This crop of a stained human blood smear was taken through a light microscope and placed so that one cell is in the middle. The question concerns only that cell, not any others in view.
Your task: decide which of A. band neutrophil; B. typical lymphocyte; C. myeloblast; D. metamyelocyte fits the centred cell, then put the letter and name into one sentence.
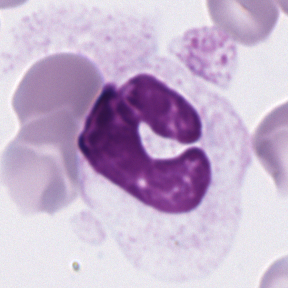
The cell placed in the middle is a band neutrophil; option A is correct.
